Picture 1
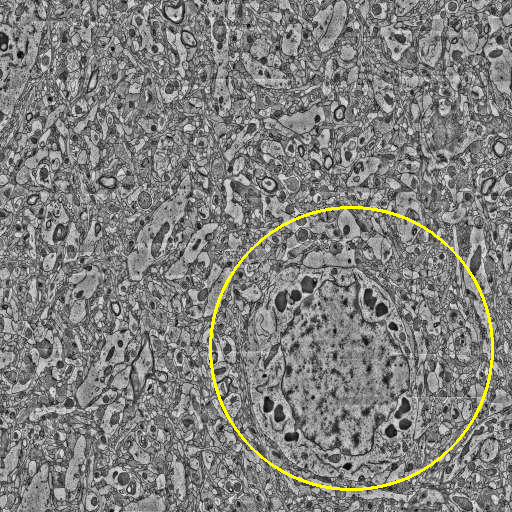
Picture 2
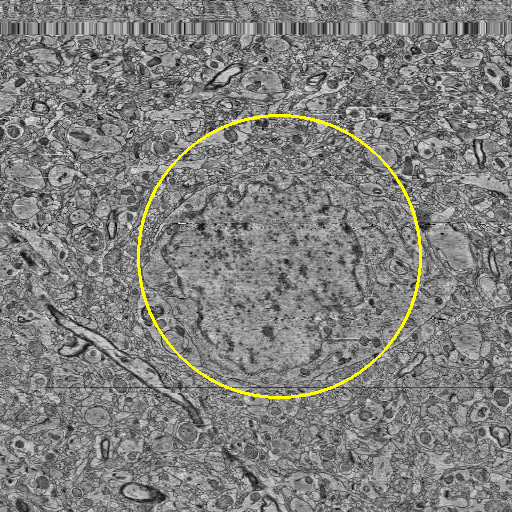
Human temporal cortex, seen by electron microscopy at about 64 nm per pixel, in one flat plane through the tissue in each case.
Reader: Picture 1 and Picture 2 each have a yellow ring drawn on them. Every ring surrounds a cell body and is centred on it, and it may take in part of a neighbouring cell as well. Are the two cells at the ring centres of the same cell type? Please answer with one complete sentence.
Yes, both cells are of the same cell type.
